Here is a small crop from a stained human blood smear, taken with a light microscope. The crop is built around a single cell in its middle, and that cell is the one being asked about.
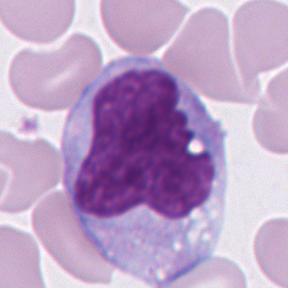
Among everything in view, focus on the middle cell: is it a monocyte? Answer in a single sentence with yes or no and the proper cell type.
Yes, that middle cell in the crop is a monocyte.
